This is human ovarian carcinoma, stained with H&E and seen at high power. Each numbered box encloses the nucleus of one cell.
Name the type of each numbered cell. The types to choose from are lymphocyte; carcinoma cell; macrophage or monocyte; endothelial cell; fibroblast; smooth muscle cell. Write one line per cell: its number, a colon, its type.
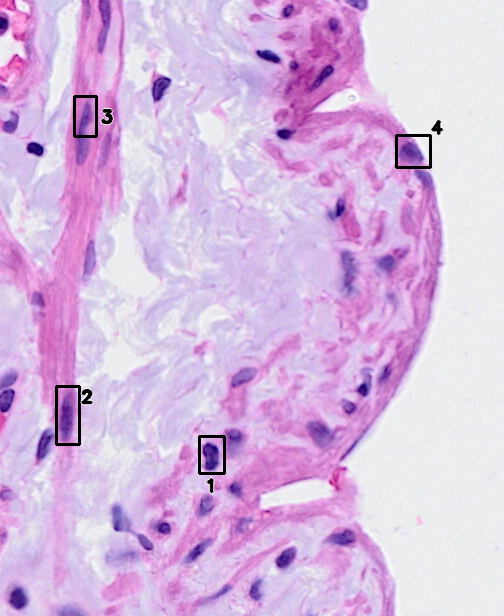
1: lymphocyte
2: smooth muscle cell
3: smooth muscle cell
4: endothelial cell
